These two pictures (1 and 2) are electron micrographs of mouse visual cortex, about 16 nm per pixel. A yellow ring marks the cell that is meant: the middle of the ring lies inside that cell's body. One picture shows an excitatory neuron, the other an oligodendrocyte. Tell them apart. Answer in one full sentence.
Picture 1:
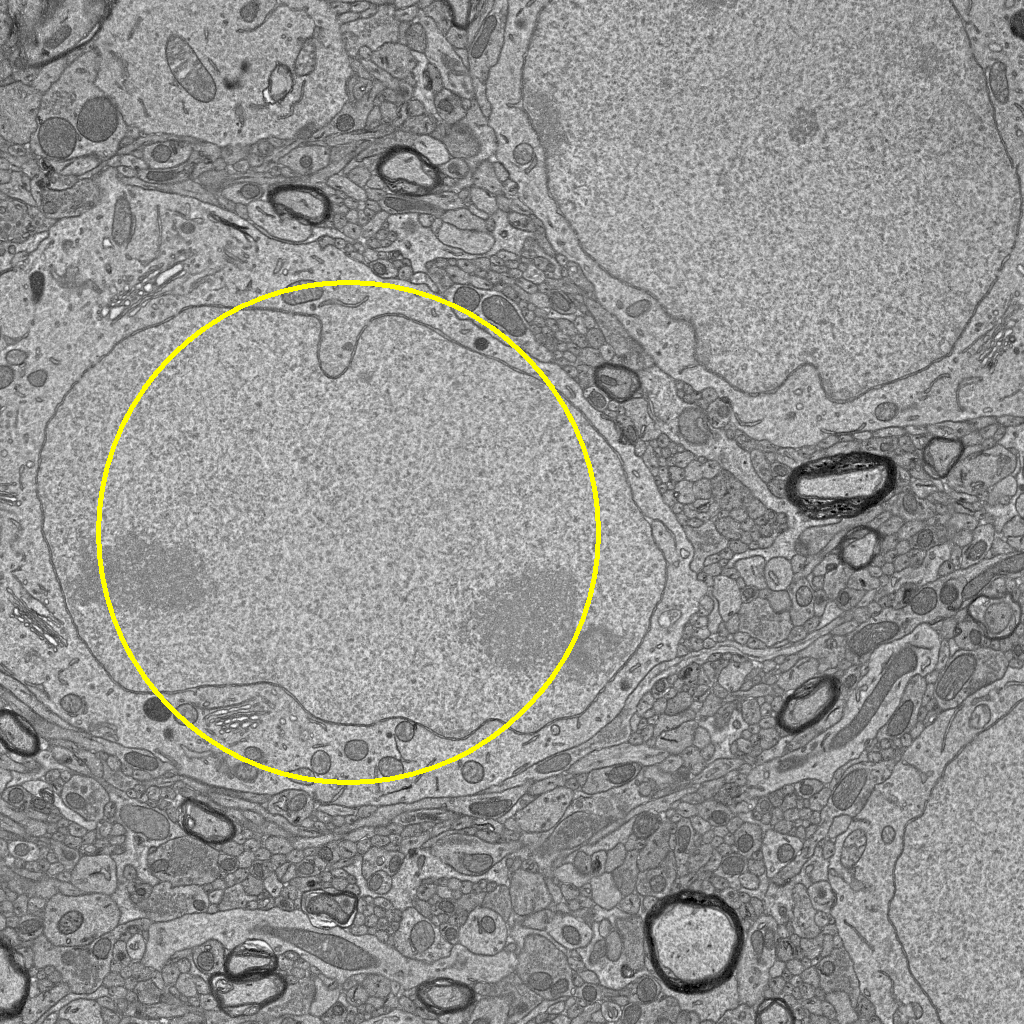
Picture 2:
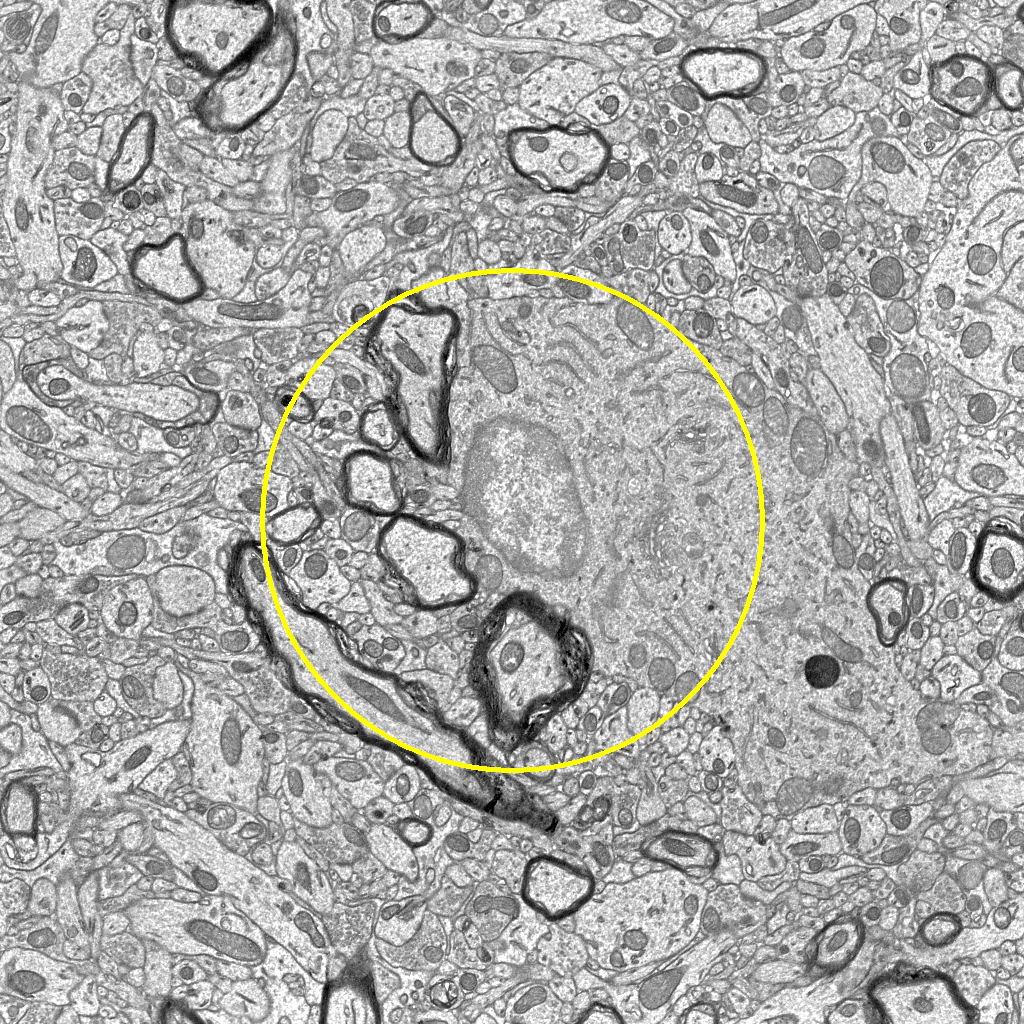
It is picture 1 that shows an excitatory neuron, and picture 2 that shows an oligodendrocyte.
